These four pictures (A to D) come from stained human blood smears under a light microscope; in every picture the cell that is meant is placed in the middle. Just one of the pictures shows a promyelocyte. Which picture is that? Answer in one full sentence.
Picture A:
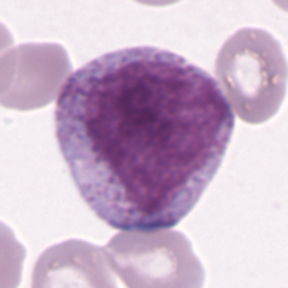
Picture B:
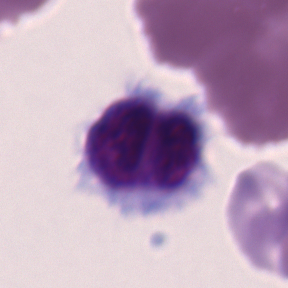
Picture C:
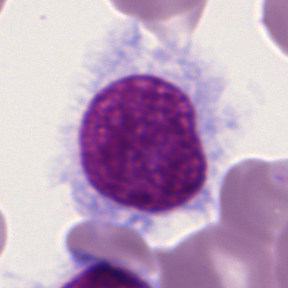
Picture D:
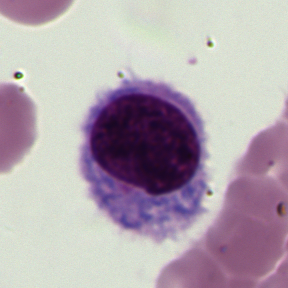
Picture A is the one that shows the promyelocyte.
